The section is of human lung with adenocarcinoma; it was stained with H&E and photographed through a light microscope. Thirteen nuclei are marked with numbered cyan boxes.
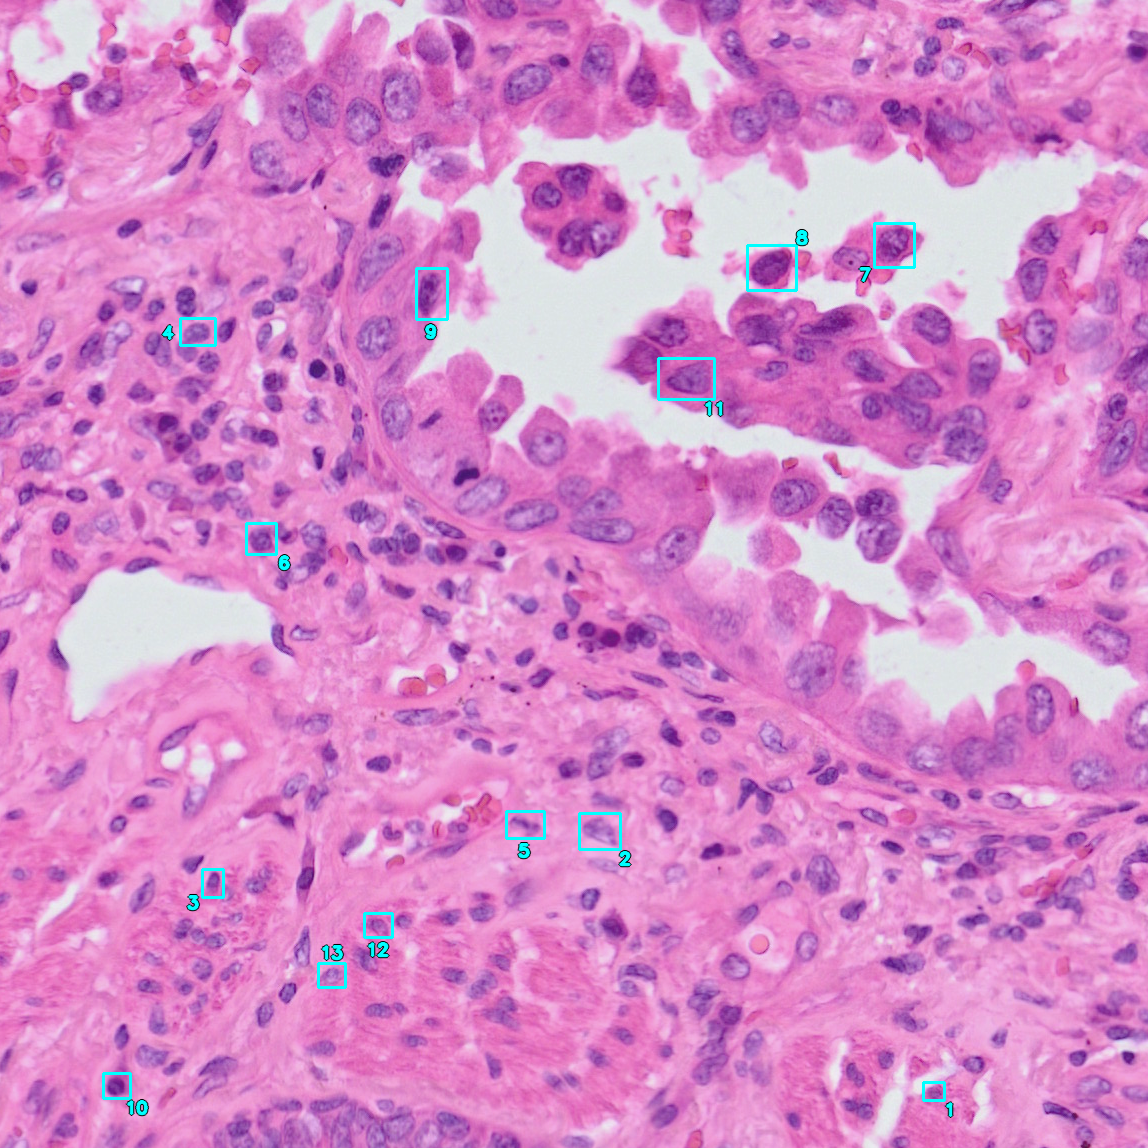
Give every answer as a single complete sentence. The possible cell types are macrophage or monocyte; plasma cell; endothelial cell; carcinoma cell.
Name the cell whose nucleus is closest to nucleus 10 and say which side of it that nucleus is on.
The nearest one is an endothelial cell, found below and to the left of nucleus 10.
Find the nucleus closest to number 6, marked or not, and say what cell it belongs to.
The nucleus nearest to number 6 is that of a plasma cell.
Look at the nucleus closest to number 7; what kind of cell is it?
Closest to number 7 lies the nucleus of a macrophage or monocyte.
